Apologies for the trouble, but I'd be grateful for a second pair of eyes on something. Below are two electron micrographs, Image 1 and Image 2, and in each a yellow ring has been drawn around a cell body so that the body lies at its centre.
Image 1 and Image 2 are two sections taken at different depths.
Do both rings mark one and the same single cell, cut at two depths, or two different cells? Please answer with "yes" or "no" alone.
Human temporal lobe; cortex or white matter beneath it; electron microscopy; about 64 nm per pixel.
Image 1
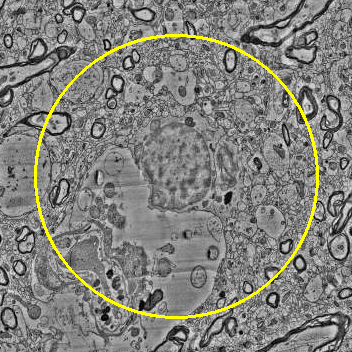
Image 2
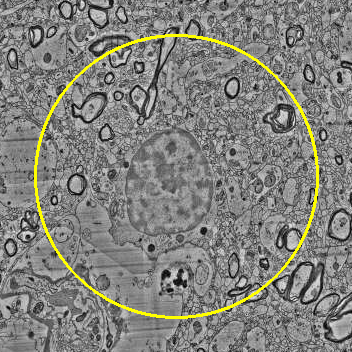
yes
